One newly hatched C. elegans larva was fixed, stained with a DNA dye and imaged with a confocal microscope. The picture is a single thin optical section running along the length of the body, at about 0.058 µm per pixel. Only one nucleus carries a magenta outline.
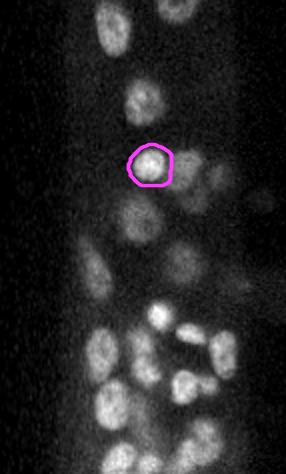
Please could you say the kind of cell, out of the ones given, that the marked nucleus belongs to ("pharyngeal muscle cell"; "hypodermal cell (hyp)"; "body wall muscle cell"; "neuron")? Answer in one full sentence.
This nucleus is from a neuron.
